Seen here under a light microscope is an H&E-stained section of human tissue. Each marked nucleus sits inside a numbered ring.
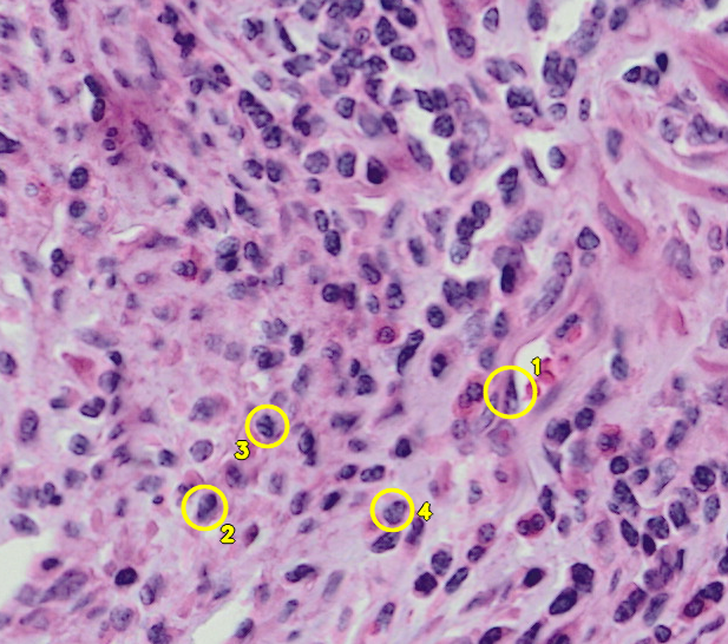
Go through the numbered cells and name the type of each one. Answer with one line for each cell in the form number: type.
1: endothelial cell
2: lymphocyte
3: lymphocyte
4: lymphocyte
